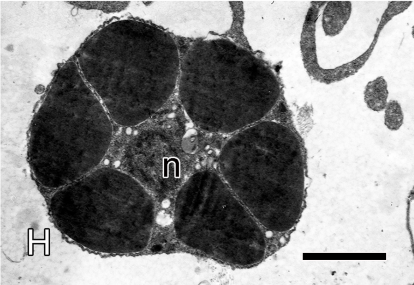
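This is a spherulous cell of the sponge, a rounded cell packed with inclusions. About half a dozen very large, electron-dense spherules fill almost the whole cell, each bounded by a thin membrane and pressed against its neighbours. The nucleus is small and lies squeezed in the centre among the spherules, with only a thin rim of cytoplasm around them.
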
